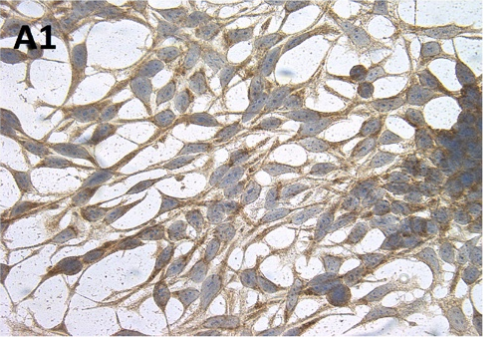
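Cell bodies and processes carry a light brown tint, while the oval nuclei are mostly blue with fine dark dots. Cells overlap and crowd toward one side, where the layer becomes denser and darker. Clear spaces lie between the net of processes. A few rounded cells sit among the elongated ones.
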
